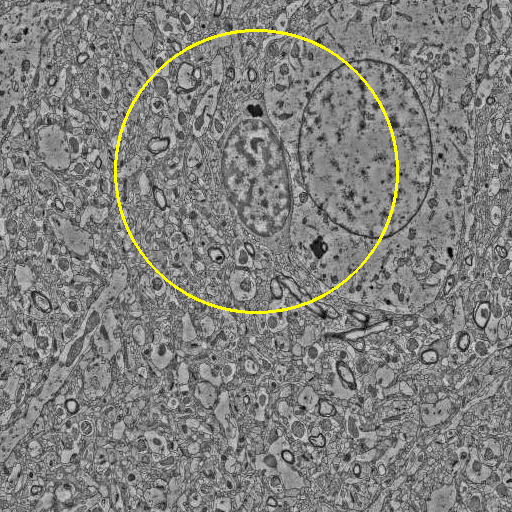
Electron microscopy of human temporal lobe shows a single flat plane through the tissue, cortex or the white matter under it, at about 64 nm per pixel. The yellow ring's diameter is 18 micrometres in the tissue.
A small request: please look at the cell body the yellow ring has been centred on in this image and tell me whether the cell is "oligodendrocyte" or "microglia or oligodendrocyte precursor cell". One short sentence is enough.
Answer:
The cell marked by the ring is an oligodendrocyte.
